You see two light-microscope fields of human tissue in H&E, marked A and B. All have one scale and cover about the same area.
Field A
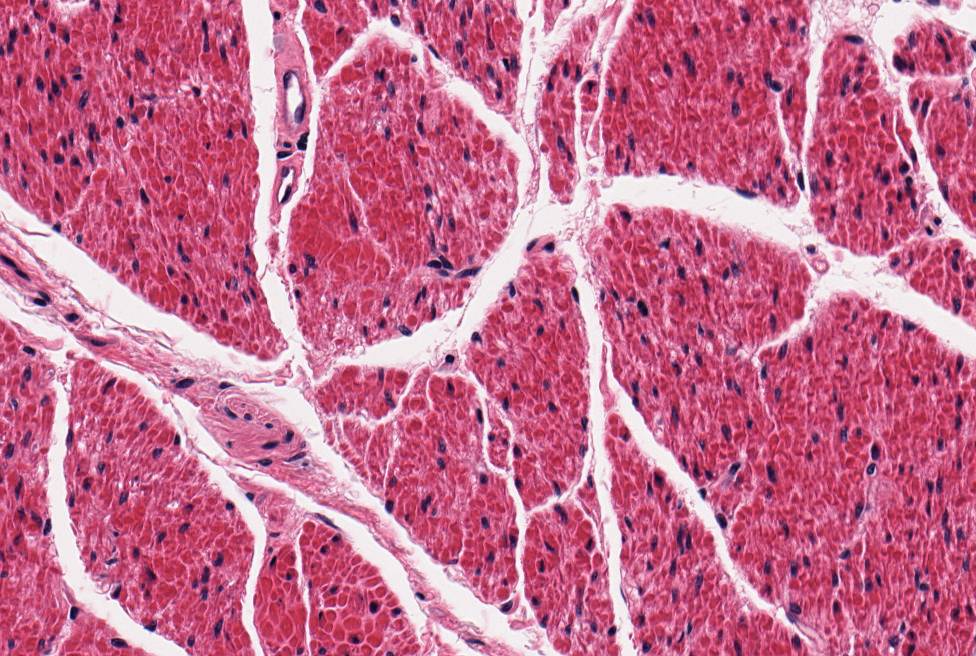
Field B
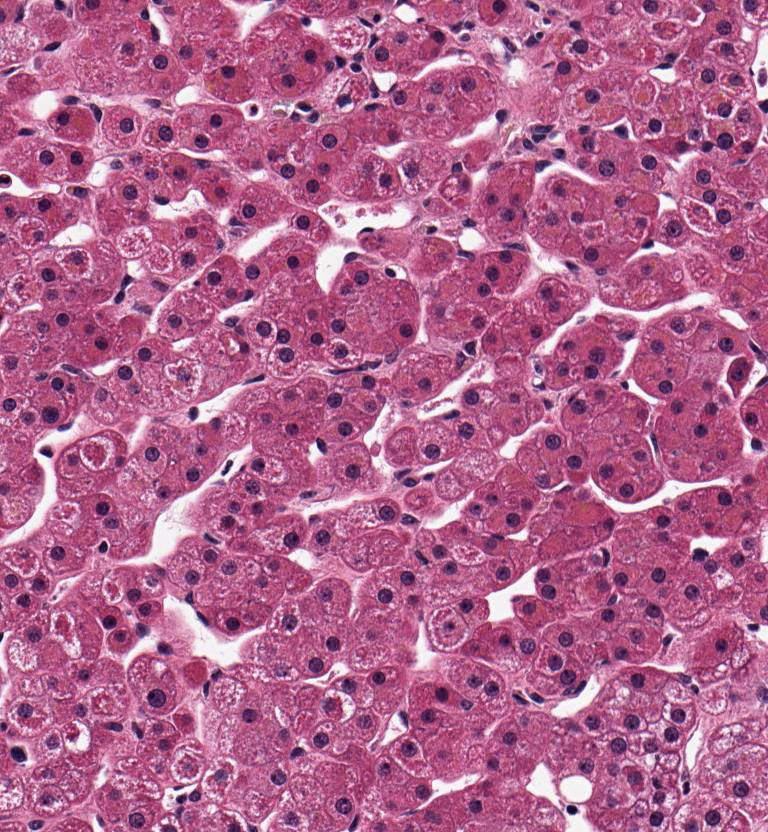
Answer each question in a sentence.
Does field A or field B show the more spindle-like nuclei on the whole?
The nuclei are more elongated in field A.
